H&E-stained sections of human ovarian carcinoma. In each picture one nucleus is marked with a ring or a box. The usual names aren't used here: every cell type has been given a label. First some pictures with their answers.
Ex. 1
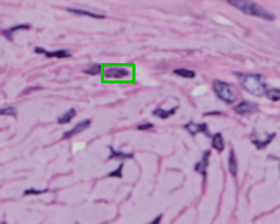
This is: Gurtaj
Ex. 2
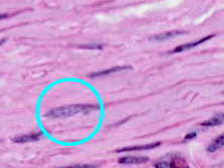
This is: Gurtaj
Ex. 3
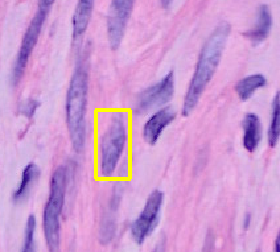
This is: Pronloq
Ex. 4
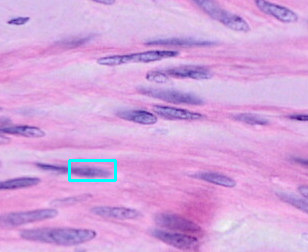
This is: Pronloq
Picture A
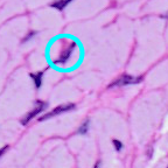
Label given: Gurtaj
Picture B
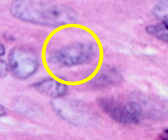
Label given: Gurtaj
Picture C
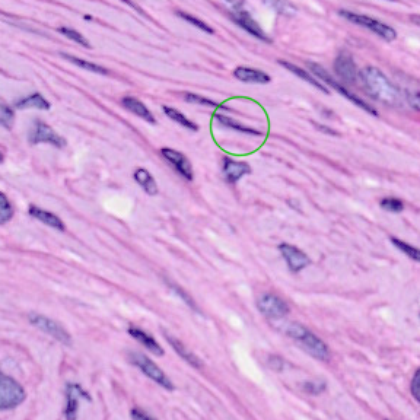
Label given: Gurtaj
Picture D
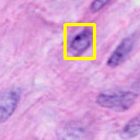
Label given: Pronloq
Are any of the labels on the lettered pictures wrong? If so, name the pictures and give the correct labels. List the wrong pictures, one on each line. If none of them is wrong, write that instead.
D: not Pronloq but Gurtaj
